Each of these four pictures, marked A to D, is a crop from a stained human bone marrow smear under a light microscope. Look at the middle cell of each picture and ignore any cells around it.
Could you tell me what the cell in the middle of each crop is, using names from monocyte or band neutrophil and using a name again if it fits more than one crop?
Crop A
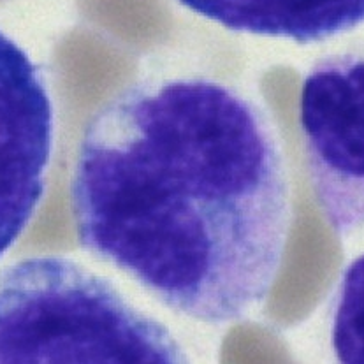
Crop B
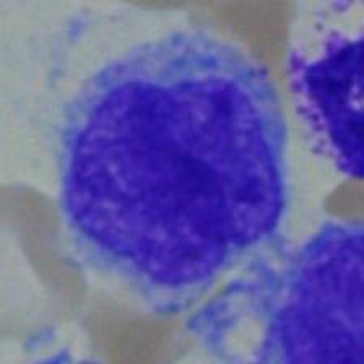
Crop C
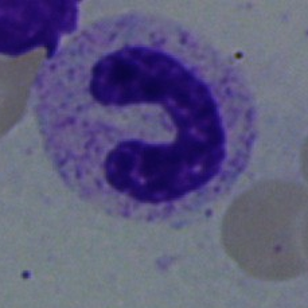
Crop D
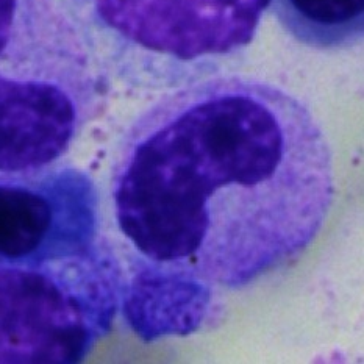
A: monocyte
B: monocyte
C: band neutrophil
D: band neutrophil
